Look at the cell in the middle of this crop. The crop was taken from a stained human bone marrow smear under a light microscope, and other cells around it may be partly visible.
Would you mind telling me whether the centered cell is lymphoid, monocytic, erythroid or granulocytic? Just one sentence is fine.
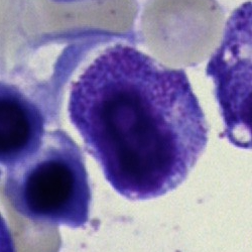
The cell at the center of this crop is of granulocytic lineage.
